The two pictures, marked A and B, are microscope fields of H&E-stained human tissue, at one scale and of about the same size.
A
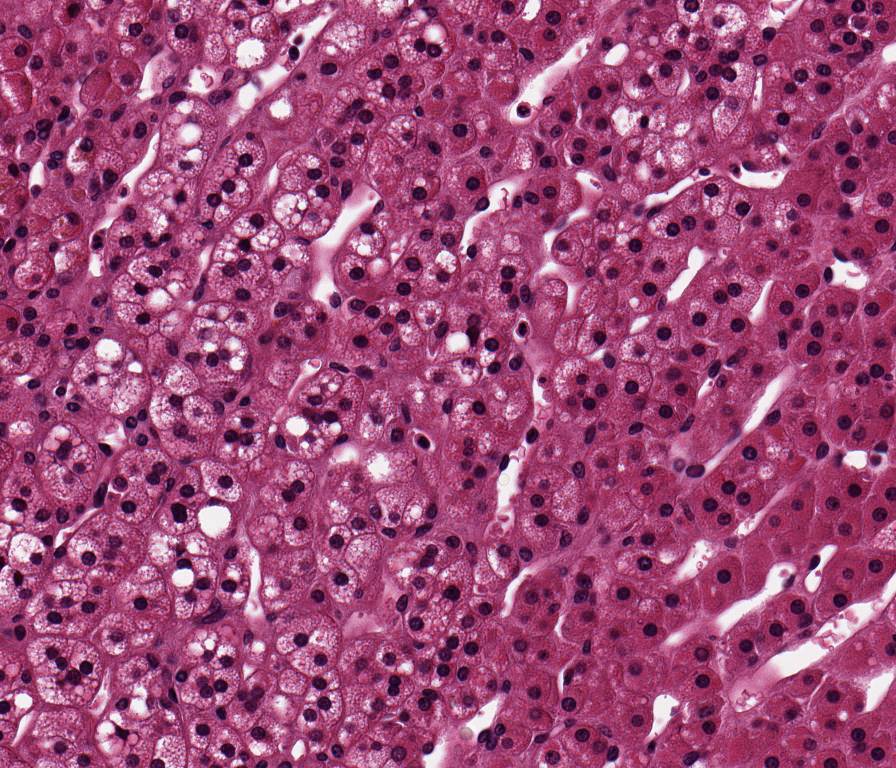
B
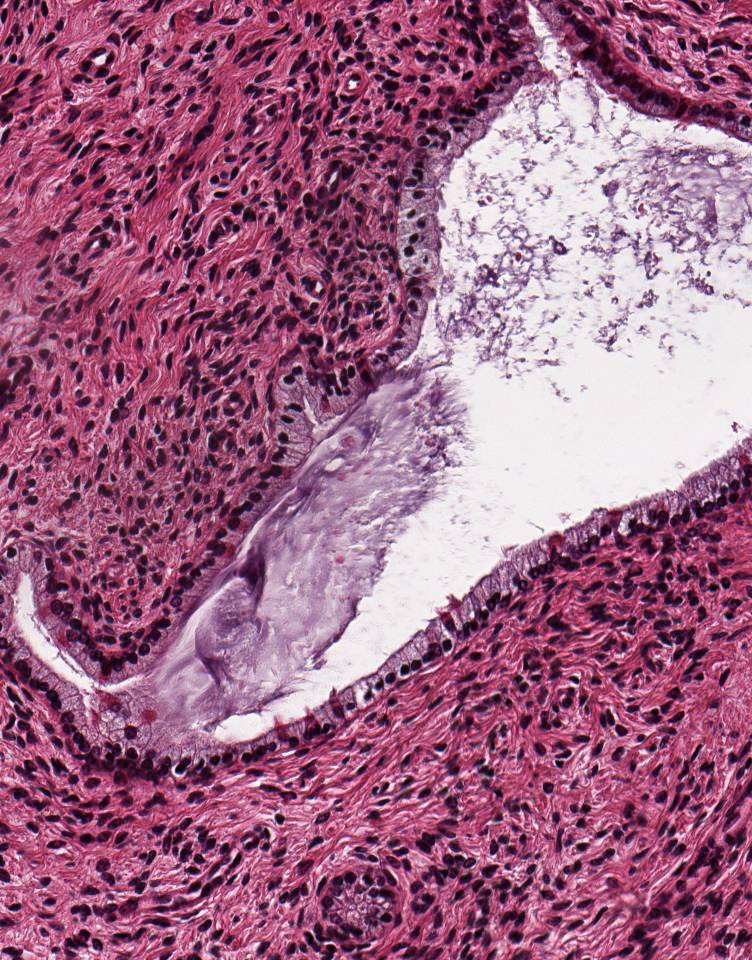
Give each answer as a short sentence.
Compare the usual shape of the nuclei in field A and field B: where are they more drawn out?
It is field B whose nuclei are the more elongated.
